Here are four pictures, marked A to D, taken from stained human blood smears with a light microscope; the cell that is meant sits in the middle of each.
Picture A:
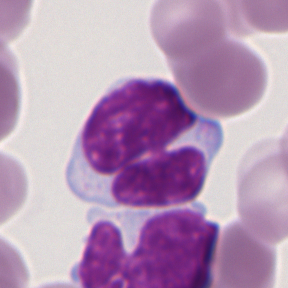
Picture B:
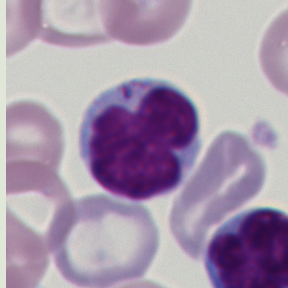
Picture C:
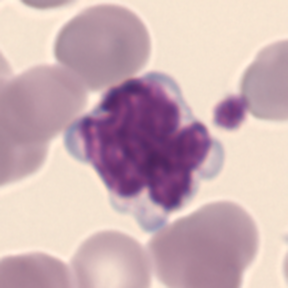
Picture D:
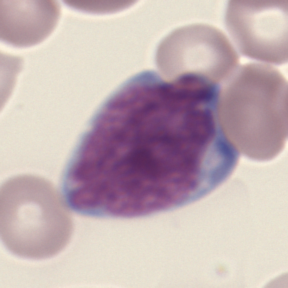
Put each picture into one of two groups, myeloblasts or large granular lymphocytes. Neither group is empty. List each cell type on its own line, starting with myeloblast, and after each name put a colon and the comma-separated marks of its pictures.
myeloblast: D
large granular lymphocyte: A, B, C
